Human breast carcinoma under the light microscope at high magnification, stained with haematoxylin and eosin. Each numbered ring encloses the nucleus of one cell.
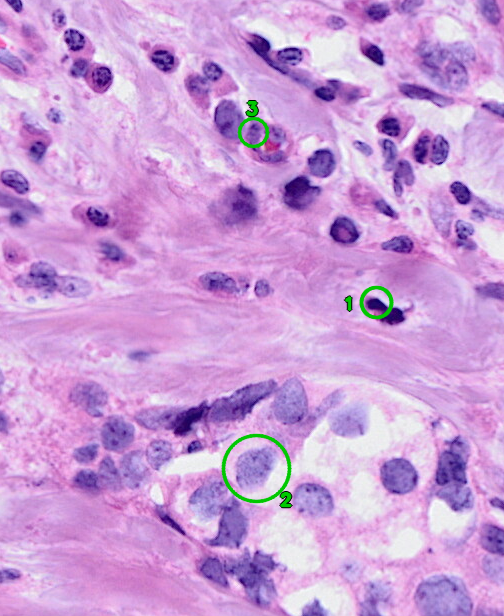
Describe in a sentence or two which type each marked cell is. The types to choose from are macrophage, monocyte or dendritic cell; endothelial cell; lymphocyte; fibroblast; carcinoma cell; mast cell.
Cell 1 is a lymphocyte, cell 2 is a carcinoma cell and cell 3 is an endothelial cell.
